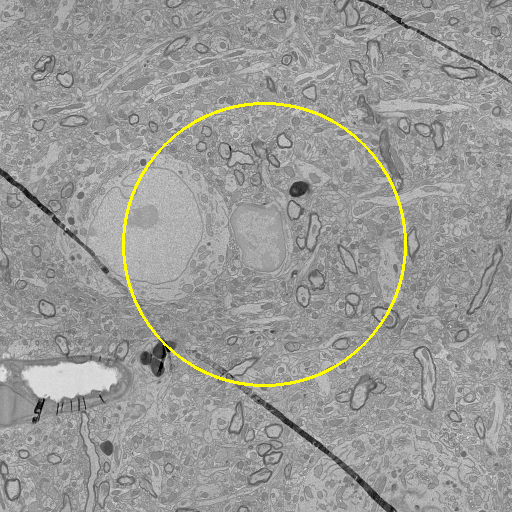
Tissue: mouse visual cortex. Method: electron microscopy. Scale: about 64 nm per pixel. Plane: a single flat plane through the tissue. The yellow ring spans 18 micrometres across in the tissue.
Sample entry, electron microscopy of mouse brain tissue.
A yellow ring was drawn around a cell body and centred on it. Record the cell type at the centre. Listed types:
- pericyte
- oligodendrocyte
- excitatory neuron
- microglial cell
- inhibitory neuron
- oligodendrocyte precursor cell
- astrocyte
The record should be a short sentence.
The cell at the ring's centre is a microglial cell.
